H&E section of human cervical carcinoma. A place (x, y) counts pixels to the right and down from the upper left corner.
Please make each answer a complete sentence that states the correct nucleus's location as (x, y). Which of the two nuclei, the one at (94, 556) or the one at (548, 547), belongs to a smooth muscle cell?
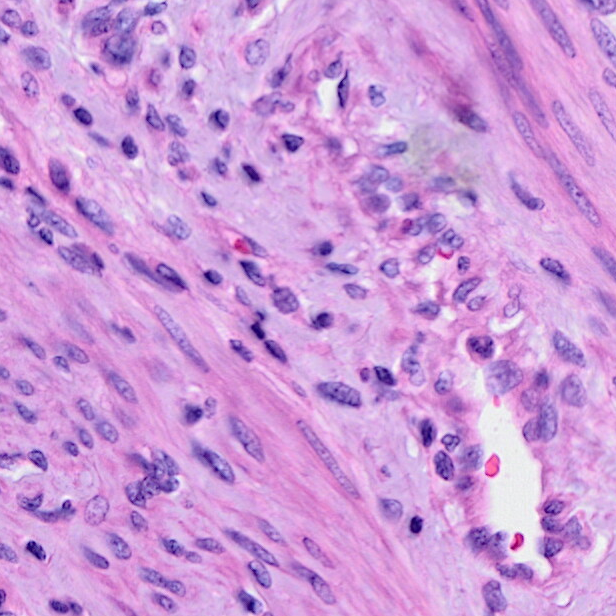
The nucleus at (94, 556), rather than the other, belongs to a smooth muscle cell.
